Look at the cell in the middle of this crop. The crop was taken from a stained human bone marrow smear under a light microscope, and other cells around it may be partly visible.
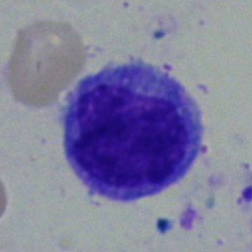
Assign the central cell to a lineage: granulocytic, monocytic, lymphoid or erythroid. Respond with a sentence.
In lineage, the cell at the crop's center is monocytic.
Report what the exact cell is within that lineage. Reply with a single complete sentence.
The cell sitting right in the middle is a monocyte.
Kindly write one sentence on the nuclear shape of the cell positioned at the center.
The nuclear material is gathered into one compact round, oval or kidney-shaped mass.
